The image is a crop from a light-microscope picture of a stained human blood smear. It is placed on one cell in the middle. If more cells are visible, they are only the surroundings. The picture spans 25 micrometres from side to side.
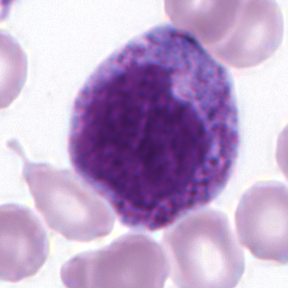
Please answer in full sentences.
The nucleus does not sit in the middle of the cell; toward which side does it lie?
It is shifted toward the lower left of the cell.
